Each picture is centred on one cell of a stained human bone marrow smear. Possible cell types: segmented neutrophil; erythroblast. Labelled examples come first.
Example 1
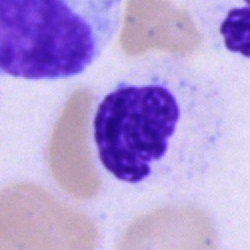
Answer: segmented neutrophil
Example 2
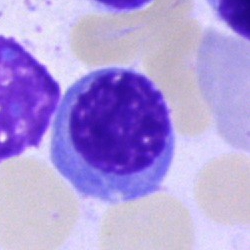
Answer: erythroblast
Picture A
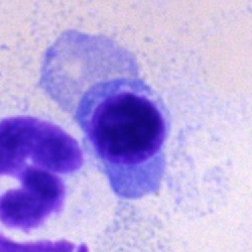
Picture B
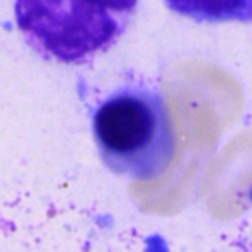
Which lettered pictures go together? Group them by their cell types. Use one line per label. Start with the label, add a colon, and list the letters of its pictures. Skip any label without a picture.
erythroblast: A, B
